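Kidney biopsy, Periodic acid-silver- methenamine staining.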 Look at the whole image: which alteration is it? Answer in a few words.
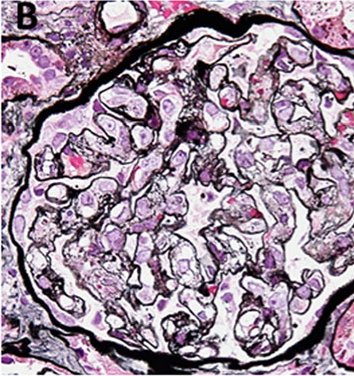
double contours of partial capillary walls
